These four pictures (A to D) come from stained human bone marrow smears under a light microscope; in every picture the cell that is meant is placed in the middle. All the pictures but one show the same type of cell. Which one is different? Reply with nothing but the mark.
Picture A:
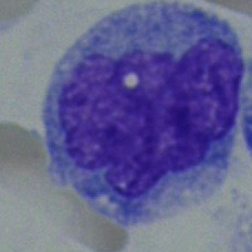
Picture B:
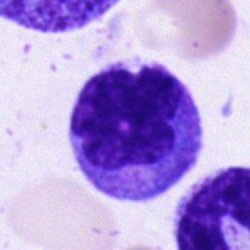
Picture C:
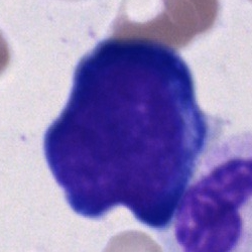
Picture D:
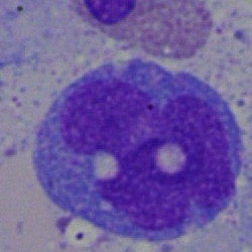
C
